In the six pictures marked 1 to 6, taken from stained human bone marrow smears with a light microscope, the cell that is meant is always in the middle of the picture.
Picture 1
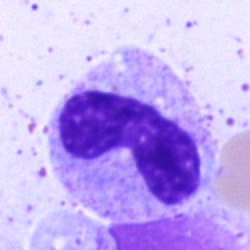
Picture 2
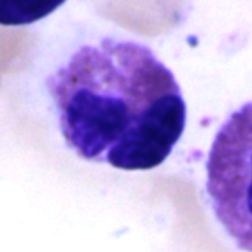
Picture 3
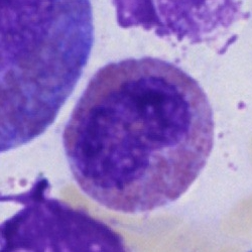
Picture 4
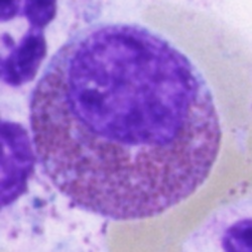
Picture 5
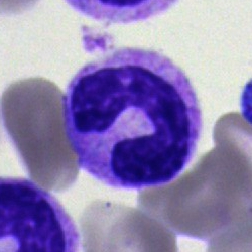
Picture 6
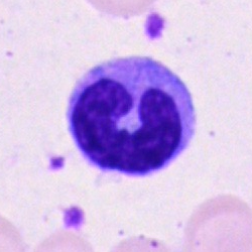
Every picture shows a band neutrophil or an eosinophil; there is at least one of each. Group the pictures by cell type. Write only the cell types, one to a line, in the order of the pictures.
band neutrophil
eosinophil
eosinophil
eosinophil
band neutrophil
band neutrophil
